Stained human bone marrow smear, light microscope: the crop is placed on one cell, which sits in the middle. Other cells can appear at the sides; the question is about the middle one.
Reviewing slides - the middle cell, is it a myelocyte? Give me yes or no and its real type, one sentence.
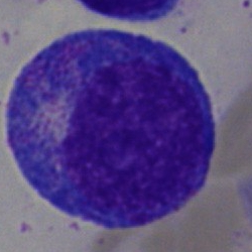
No, the cell placed at the center is a promyelocyte rather than a myelocyte.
